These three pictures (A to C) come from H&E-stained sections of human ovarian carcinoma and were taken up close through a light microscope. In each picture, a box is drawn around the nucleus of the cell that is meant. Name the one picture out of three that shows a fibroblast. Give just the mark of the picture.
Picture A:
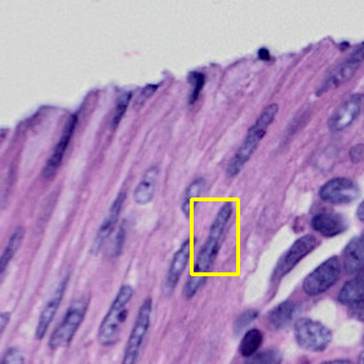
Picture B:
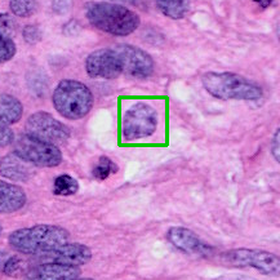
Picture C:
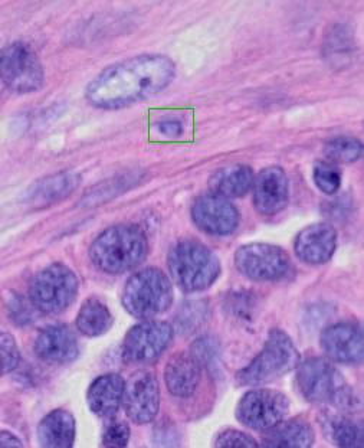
A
